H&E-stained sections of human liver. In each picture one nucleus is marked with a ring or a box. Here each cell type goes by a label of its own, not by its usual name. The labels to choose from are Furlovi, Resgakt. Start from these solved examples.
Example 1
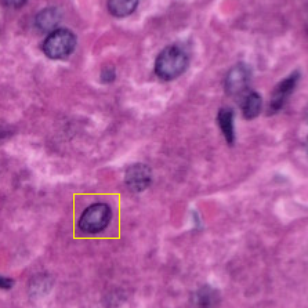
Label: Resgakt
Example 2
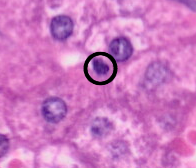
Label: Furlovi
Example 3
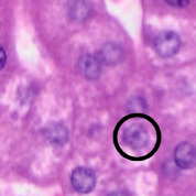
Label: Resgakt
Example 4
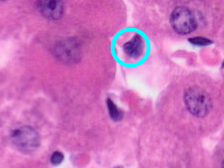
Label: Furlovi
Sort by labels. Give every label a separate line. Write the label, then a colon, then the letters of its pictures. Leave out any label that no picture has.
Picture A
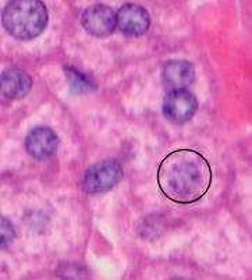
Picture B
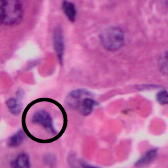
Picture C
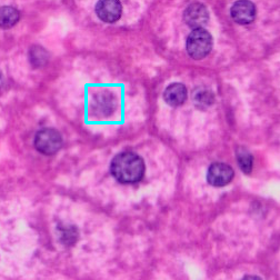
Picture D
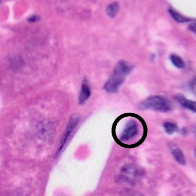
Furlovi: B, D
Resgakt: A, C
